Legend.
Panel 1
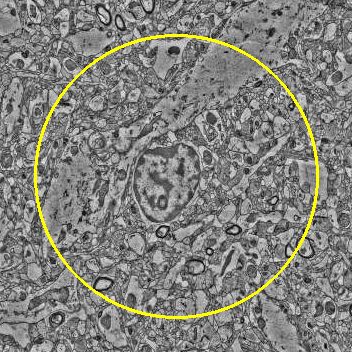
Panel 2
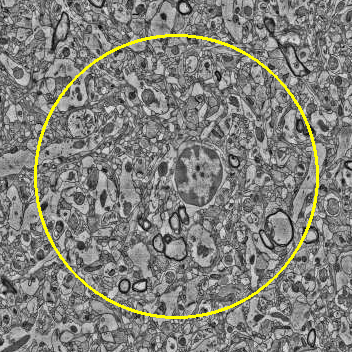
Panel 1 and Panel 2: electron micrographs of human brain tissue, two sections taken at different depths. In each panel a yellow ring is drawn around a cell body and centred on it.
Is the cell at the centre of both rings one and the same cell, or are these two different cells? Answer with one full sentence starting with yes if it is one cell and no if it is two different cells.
Yes, both yellow rings mark one and the same cell.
